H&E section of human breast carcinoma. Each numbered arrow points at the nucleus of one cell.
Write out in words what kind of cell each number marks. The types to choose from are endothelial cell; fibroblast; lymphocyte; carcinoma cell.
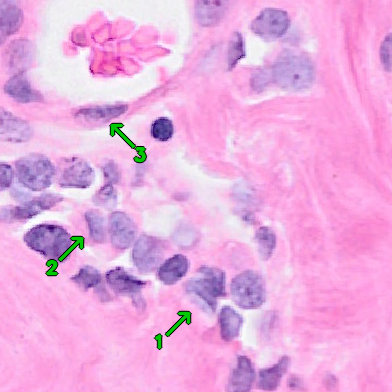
Cells 1 and 2 are carcinoma cells. Cell 3 is an endothelial cell.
